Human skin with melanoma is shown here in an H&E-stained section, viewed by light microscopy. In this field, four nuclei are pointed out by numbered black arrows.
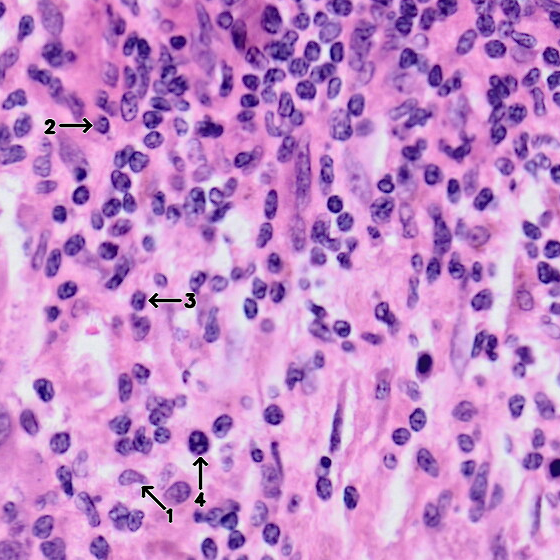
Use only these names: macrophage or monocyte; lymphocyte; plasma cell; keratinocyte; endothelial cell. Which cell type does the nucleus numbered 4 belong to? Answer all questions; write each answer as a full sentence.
The cell pointed out as number 4 is a plasma cell.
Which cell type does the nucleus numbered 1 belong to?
The cell identified by the number 1 is a macrophage or monocyte.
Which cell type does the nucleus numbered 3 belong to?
Cell 3, as marked in the section, is a lymphocyte.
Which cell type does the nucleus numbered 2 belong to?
Number 2 is placed on a lymphocyte here.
